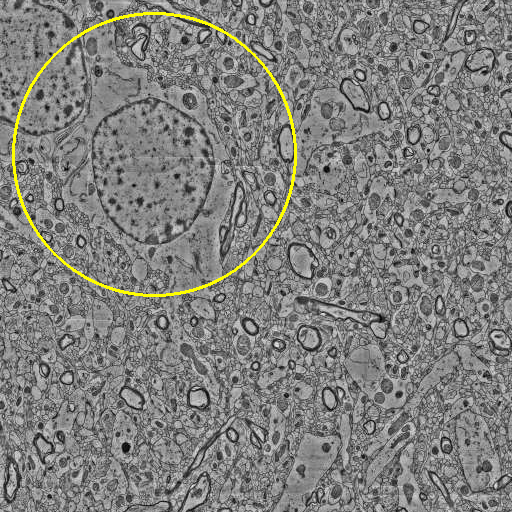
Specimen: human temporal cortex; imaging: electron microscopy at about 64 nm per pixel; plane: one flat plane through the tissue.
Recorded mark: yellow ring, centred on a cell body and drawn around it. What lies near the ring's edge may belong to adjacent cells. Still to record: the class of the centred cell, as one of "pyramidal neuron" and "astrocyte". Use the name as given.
astrocyte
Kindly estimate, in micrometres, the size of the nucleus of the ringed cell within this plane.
About 9 by 8 micrometres in this plane.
